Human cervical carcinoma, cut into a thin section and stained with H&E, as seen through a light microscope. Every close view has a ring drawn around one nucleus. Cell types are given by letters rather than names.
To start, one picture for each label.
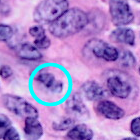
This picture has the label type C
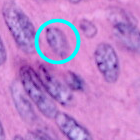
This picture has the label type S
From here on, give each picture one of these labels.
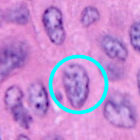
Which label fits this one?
type S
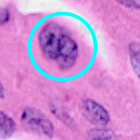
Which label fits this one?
type S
